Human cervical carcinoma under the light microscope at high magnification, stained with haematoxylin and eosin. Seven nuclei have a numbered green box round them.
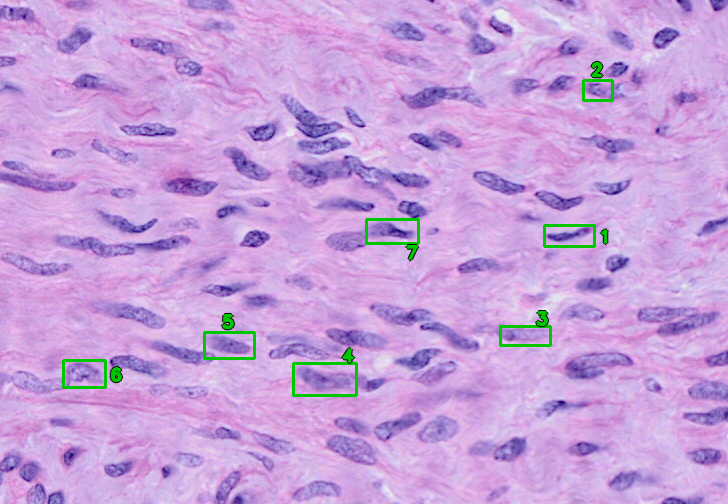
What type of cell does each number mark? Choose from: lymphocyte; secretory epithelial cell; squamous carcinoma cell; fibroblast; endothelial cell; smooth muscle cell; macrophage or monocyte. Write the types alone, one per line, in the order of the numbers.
fibroblast
smooth muscle cell
smooth muscle cell
smooth muscle cell
fibroblast
smooth muscle cell
fibroblast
